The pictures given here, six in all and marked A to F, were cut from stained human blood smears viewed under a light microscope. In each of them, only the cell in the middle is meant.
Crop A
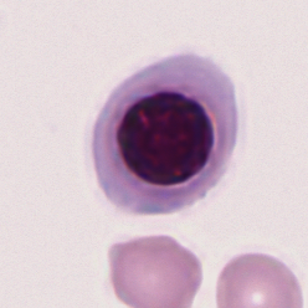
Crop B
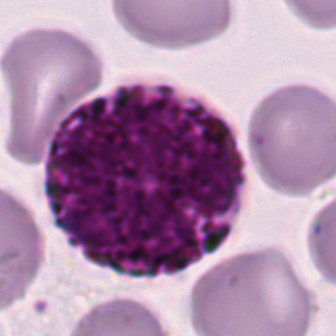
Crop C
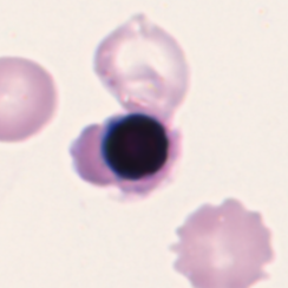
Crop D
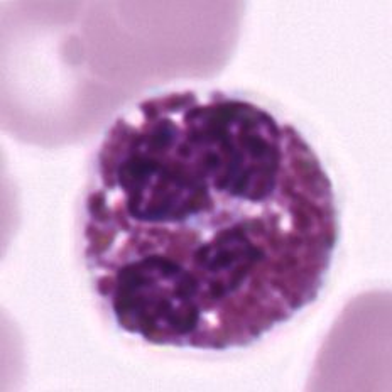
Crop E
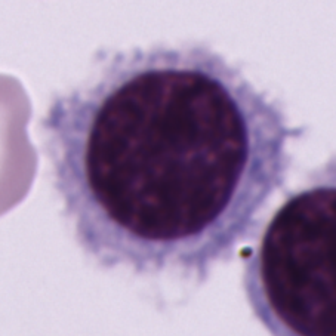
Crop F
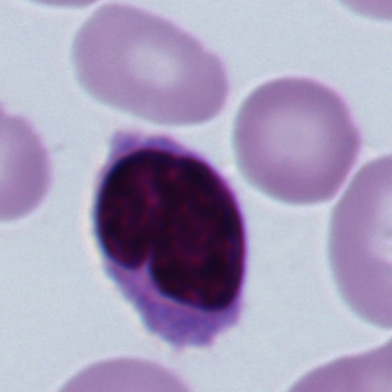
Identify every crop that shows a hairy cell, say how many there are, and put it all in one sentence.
In this set, a hairy cell is present in exactly one crop, crop E.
